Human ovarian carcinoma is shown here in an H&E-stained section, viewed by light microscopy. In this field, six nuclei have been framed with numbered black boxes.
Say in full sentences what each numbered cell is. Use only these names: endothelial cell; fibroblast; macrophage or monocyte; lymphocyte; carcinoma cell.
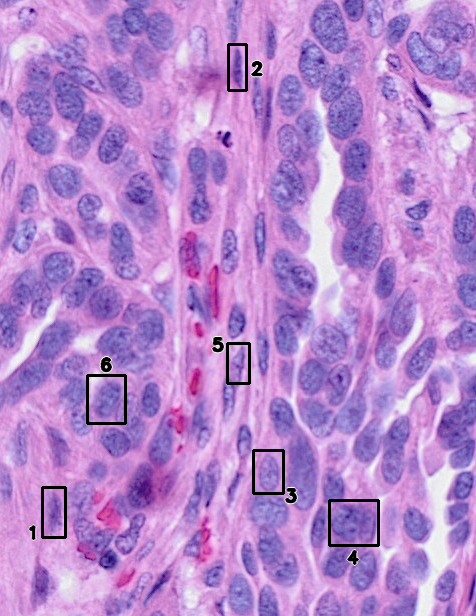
Cells 1, 2 and 5 are fibroblasts. Cells 3, 4 and 6 are carcinoma cells.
